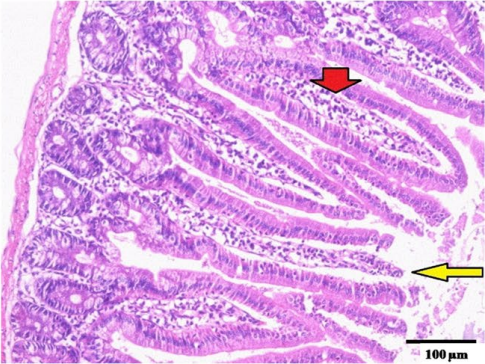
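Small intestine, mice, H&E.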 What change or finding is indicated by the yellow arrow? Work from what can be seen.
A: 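Villous tip erosion. At the yellow arrow the tip of a villus has a frayed, thinned epithelial surface.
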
